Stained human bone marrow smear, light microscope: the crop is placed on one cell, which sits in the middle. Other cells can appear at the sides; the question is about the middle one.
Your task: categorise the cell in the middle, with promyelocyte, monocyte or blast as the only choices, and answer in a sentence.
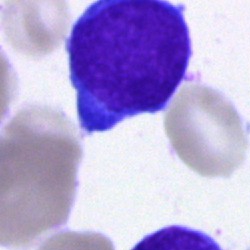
The cell in the middle of this crop is a blast.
